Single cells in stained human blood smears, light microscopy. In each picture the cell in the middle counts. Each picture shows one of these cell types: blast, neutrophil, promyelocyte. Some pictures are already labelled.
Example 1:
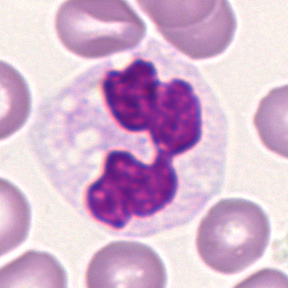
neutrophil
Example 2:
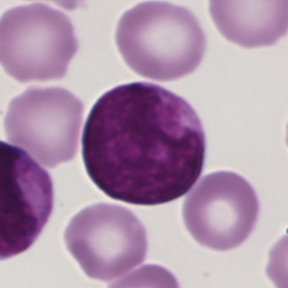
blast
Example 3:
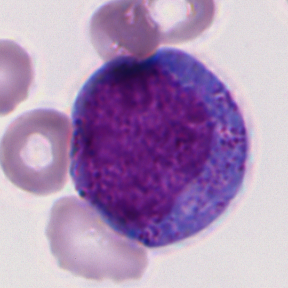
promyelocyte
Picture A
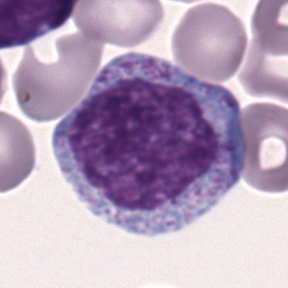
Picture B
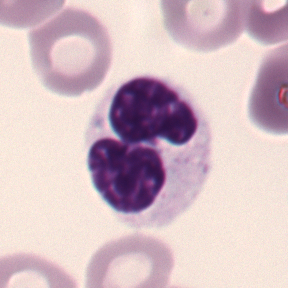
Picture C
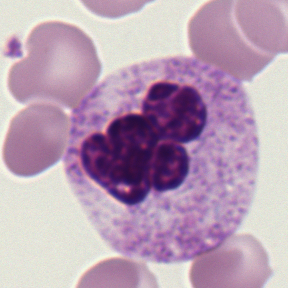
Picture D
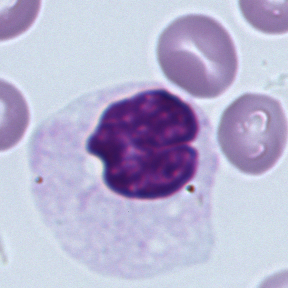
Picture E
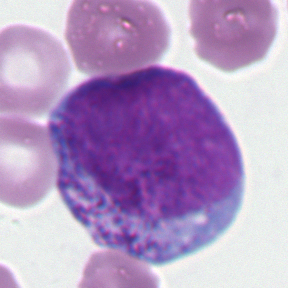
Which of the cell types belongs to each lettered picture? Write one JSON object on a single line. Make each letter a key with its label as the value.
{"A": "promyelocyte", "B": "neutrophil", "C": "neutrophil", "D": "neutrophil", "E": "promyelocyte"}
